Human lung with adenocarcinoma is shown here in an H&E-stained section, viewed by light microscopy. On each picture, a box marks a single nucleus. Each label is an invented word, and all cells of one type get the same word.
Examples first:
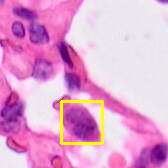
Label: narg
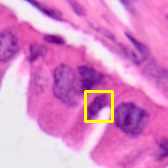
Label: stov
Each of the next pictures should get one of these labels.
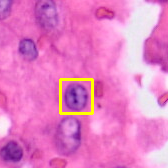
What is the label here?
narg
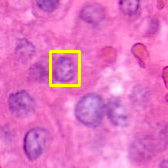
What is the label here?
narg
